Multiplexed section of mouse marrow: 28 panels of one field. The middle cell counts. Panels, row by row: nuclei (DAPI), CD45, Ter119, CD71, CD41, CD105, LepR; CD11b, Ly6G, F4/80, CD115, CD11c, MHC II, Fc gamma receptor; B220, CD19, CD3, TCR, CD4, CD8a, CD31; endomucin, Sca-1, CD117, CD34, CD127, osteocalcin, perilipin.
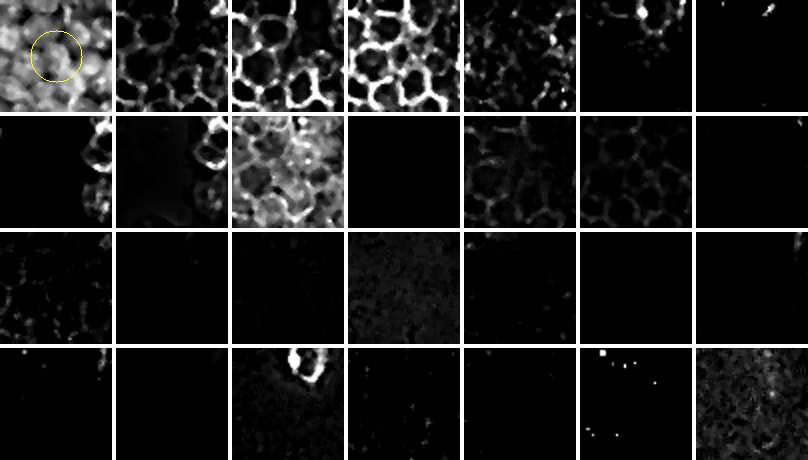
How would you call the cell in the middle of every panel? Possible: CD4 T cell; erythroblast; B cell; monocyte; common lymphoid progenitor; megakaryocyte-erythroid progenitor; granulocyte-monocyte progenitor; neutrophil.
I would call it an erythroblast.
